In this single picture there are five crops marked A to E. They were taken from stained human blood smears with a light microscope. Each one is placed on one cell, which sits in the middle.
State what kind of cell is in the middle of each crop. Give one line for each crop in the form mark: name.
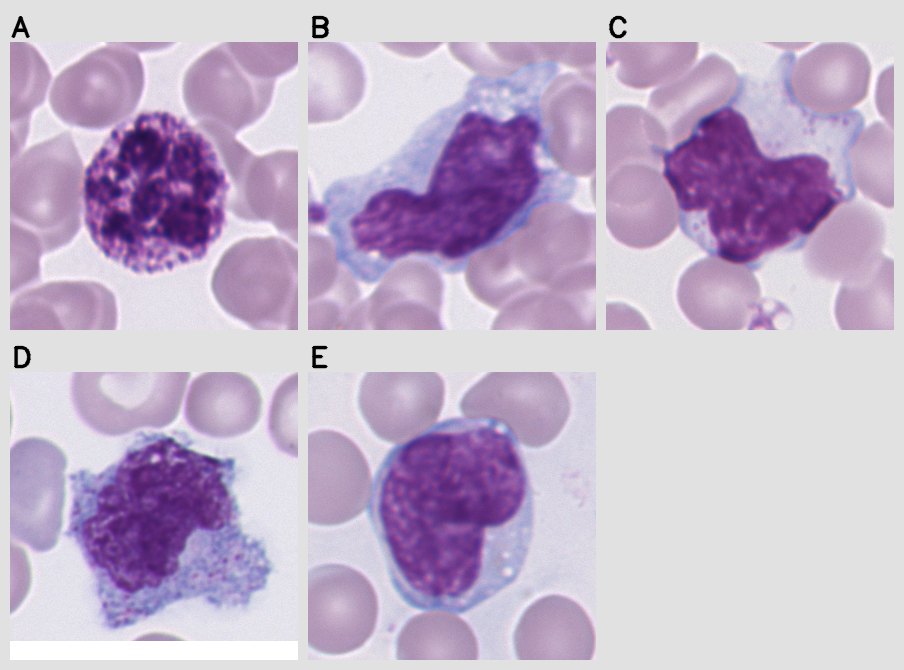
A: basophil
B: monocyte
C: large granular lymphocyte
D: promyelocyte
E: myeloblast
